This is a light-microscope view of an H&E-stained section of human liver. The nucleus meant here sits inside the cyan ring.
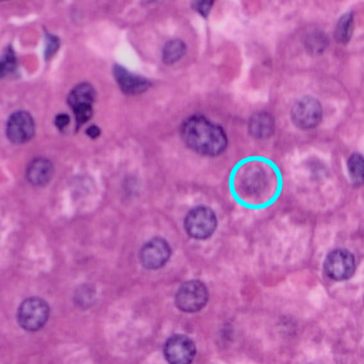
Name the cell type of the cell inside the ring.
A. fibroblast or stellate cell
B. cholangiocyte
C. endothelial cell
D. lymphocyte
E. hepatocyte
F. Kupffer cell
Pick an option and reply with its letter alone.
E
